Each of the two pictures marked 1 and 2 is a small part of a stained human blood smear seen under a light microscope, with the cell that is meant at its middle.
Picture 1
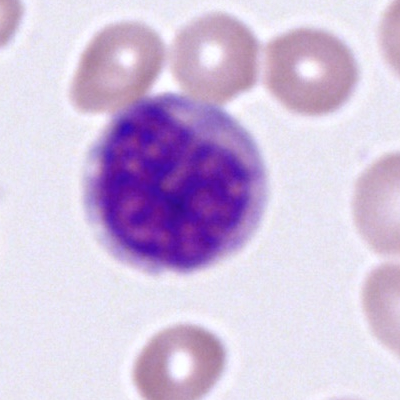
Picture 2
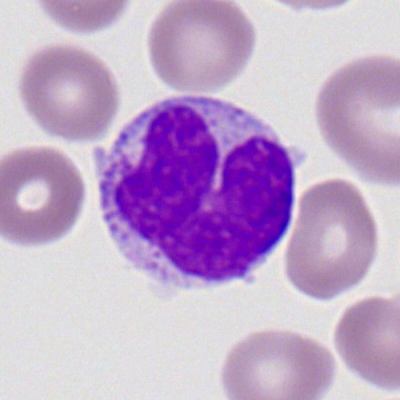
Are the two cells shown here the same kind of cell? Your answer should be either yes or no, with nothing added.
yes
